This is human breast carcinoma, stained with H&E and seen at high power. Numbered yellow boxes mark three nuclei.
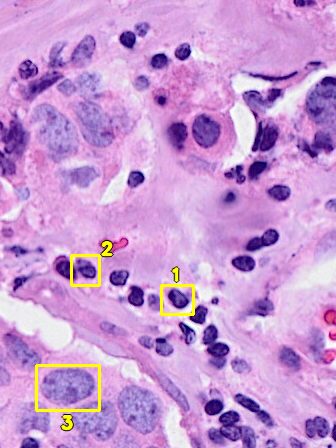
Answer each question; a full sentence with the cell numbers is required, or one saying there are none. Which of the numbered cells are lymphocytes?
The cells numbered 1 and 2 are, by type, lymphocytes.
